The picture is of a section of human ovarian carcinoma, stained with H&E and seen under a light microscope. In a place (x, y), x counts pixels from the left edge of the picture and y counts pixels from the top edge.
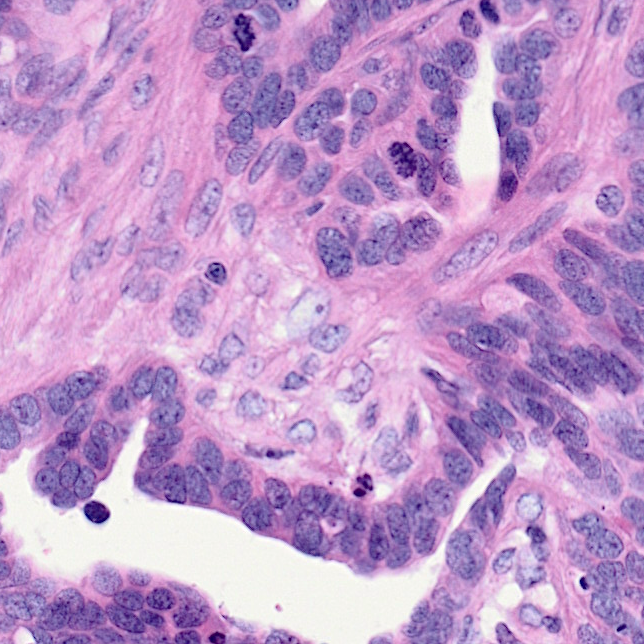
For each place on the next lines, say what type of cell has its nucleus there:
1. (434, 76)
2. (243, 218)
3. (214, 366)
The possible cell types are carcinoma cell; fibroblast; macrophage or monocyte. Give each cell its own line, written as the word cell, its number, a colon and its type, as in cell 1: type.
cell 1: carcinoma cell
cell 2: fibroblast
cell 3: fibroblast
